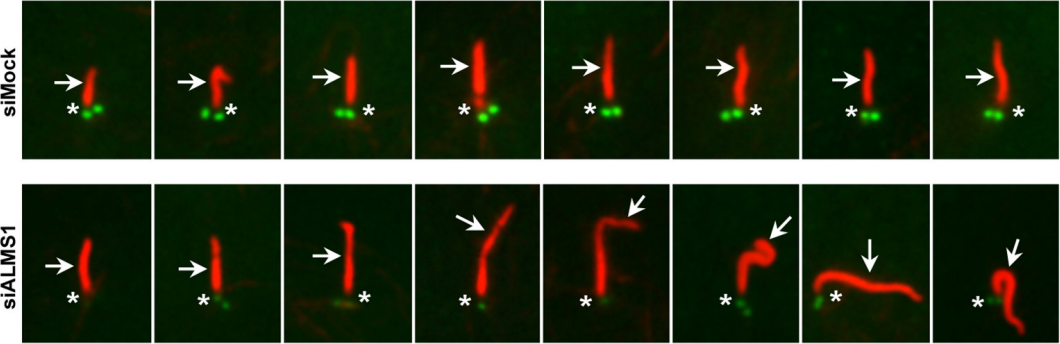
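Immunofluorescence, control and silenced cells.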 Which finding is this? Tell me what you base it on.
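The top row shows short, fairly straight red rods. Several rods in the bottom row are long, sharply bent, coiled or curled back on themselves.
Answer: aberrant morphologies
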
